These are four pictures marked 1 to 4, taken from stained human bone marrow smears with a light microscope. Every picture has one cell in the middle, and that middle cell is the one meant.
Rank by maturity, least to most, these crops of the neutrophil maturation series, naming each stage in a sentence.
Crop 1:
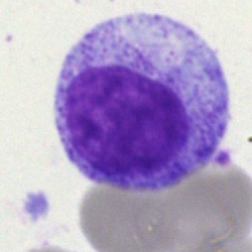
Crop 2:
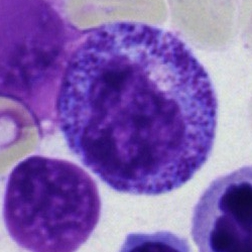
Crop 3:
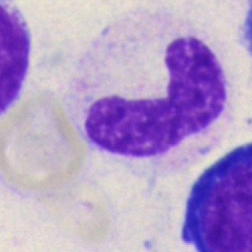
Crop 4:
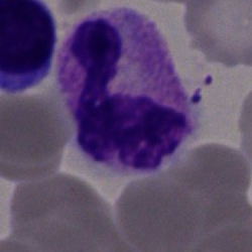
From earliest stage to latest stage, the sequence is crop 2 (a promyelocyte), crop 1 (a myelocyte), crop 3 (a band neutrophil) and crop 4 (a segmented neutrophil).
